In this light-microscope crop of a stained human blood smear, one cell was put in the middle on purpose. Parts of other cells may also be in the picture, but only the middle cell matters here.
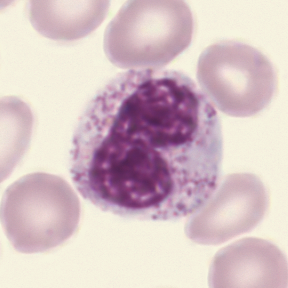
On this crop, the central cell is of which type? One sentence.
In this crop, the cell at the very middle is a band neutrophil.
